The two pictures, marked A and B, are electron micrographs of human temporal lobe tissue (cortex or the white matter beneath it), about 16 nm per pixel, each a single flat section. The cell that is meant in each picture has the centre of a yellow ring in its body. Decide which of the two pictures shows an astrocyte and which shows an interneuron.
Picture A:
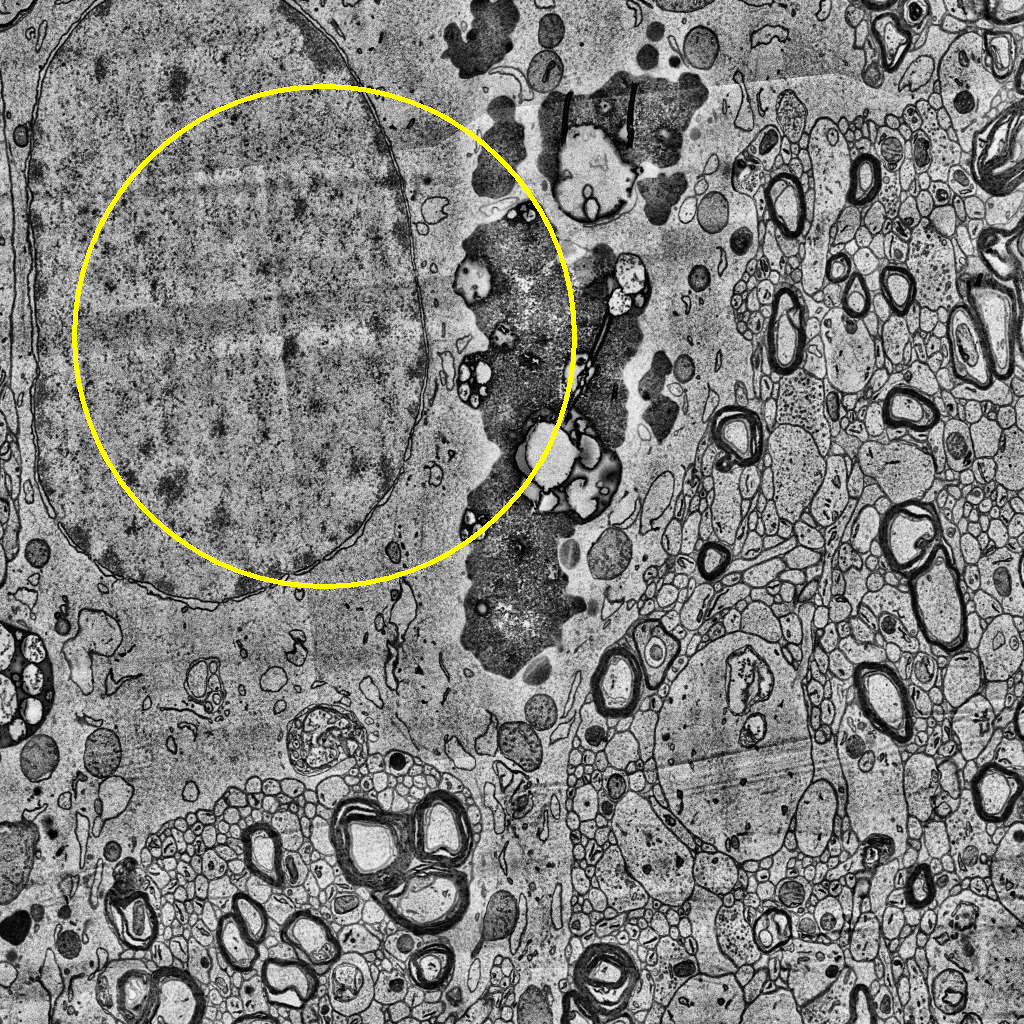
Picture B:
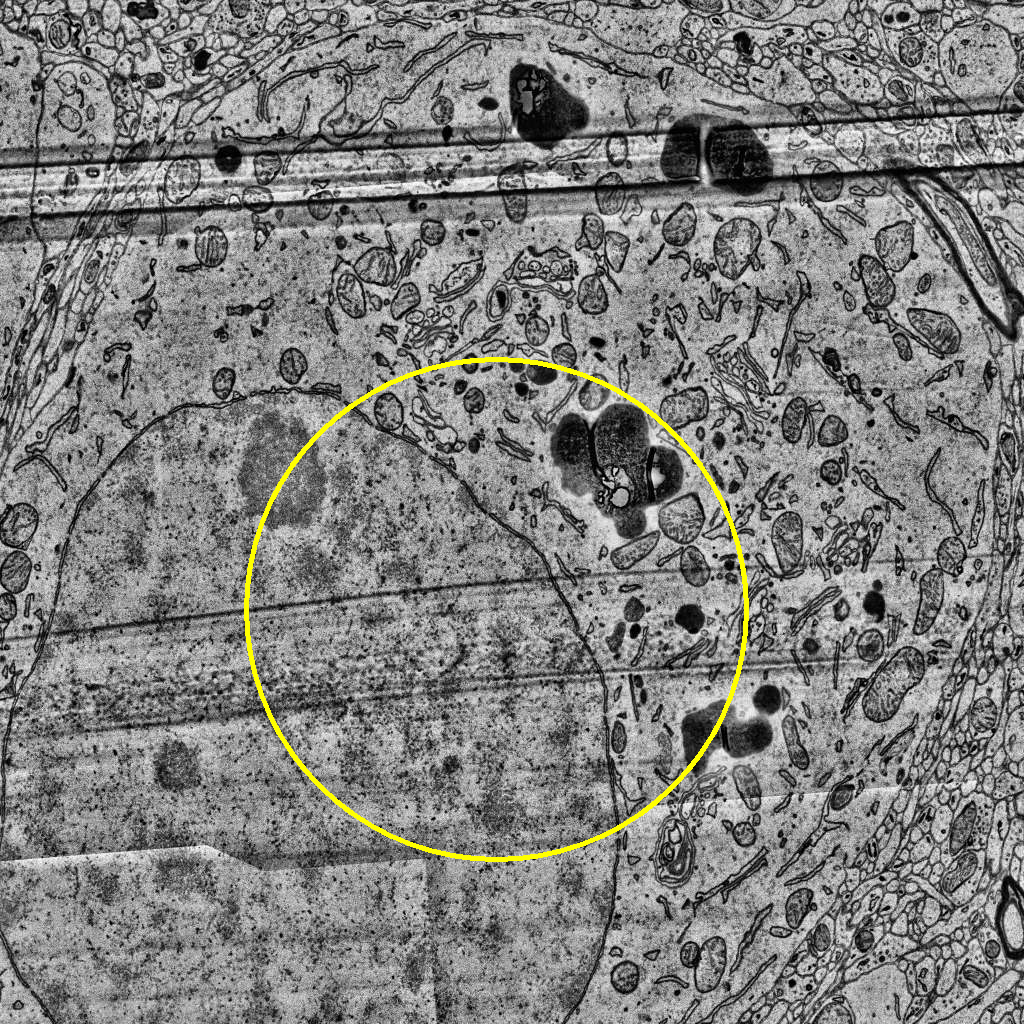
The cell in picture A is an astrocyte, and the one in picture B is an interneuron.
